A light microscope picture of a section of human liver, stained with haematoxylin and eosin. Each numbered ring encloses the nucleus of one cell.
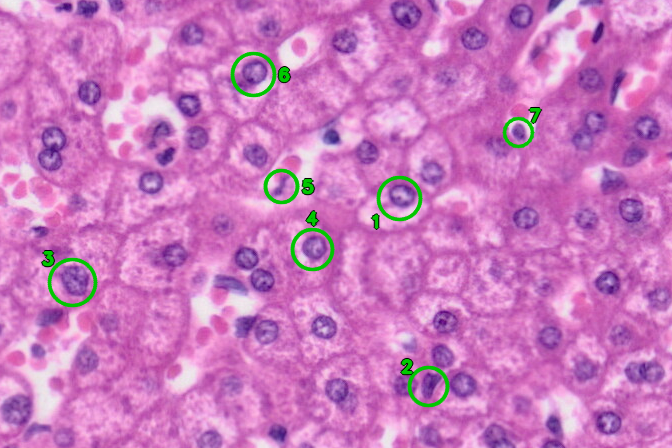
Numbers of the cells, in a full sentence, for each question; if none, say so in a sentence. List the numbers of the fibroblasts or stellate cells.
Of the cells carrying numbers, just cell 2 is a fibroblast or stellate cell.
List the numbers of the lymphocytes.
No marked cell except number 7 is a lymphocyte.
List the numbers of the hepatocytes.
The cells marked with the numbers 1, 3, 4 and 6 are hepatocytes.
